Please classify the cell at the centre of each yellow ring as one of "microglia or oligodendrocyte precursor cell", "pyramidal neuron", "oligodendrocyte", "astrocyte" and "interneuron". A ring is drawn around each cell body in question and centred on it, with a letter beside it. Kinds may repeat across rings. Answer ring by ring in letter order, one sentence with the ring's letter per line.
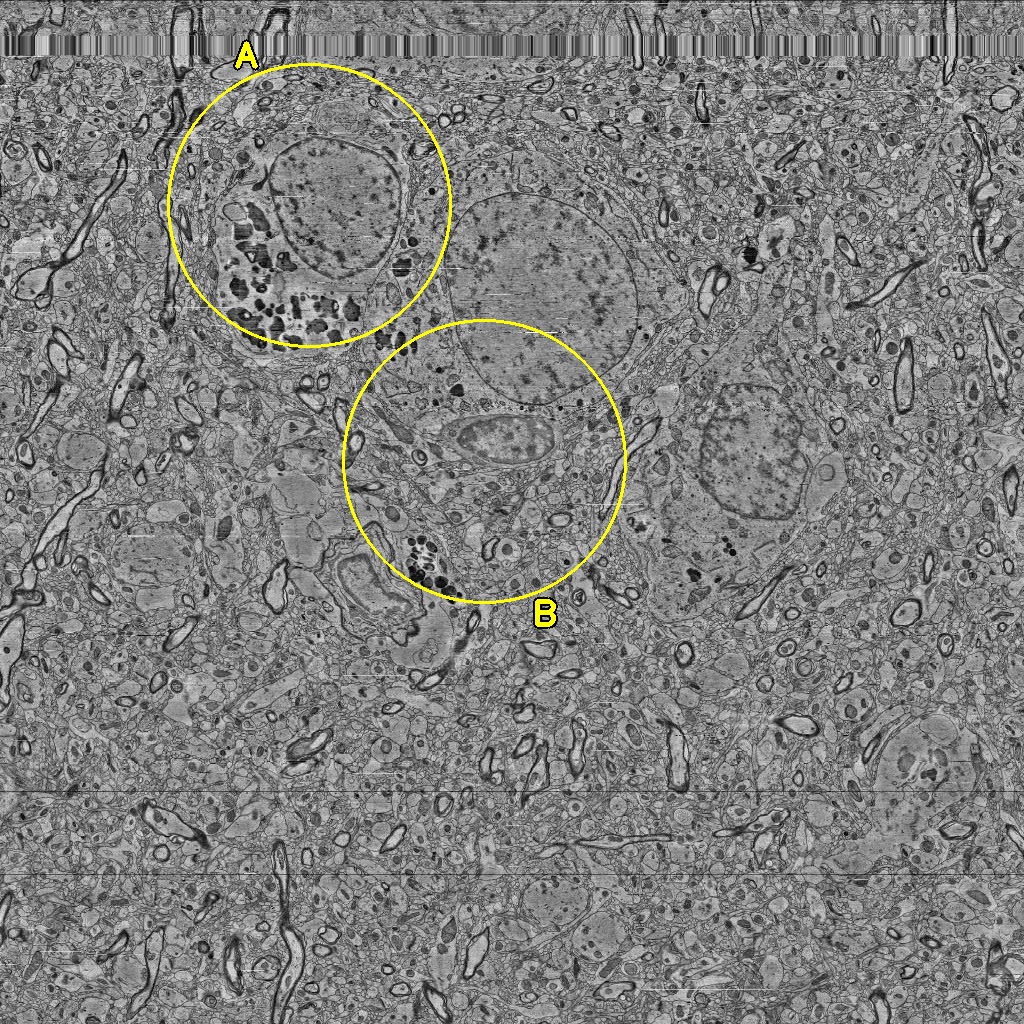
The cell at the heart of ring A is an astrocyte.
The cell at the heart of ring B is an oligodendrocyte.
